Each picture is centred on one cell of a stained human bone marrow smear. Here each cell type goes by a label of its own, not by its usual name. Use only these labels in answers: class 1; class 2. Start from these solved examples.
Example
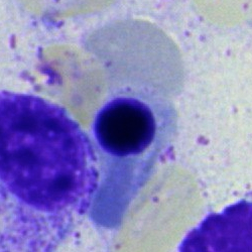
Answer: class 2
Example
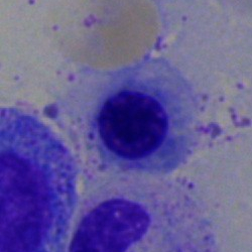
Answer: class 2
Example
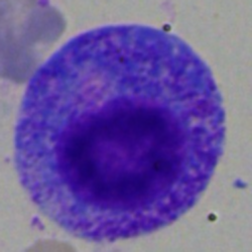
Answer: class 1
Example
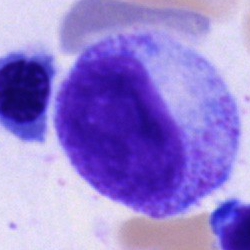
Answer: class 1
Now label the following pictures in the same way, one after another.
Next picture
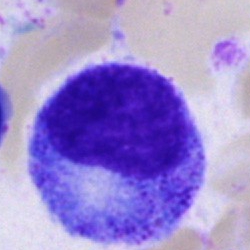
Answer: class 1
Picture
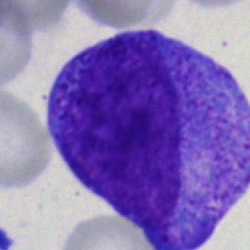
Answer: class 1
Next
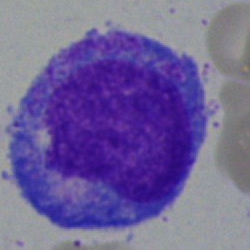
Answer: class 1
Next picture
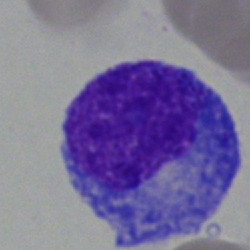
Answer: class 1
